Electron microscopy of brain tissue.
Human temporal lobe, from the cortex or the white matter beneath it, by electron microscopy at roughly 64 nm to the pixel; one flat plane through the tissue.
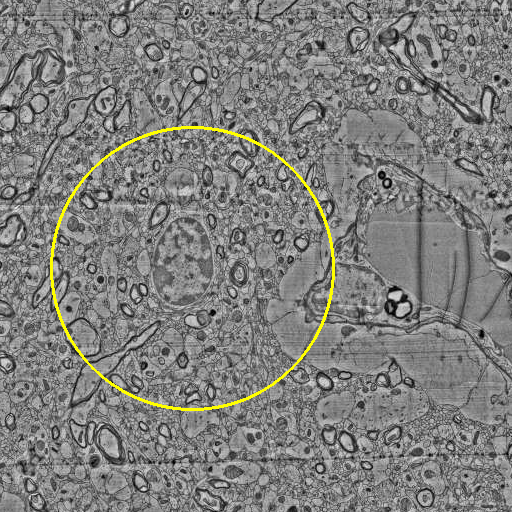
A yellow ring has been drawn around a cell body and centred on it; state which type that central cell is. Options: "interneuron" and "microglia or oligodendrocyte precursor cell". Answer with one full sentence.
The cell at the middle of the yellow ring is a microglial cell or oligodendrocyte precursor cell in this picture.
